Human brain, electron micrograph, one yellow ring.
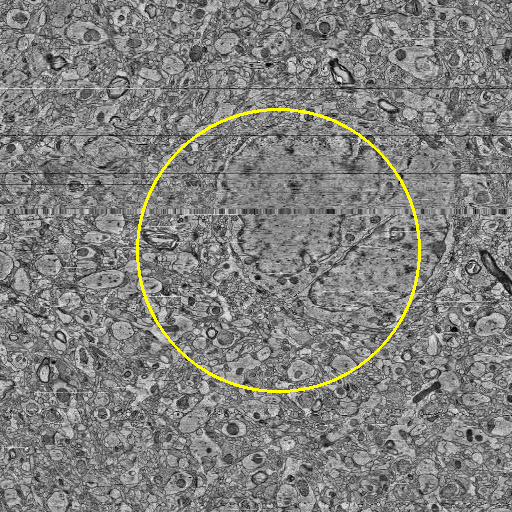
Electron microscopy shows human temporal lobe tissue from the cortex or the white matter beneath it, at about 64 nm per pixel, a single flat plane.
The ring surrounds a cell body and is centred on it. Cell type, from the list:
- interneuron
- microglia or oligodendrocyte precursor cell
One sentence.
The yellow ring circles an interneuron.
